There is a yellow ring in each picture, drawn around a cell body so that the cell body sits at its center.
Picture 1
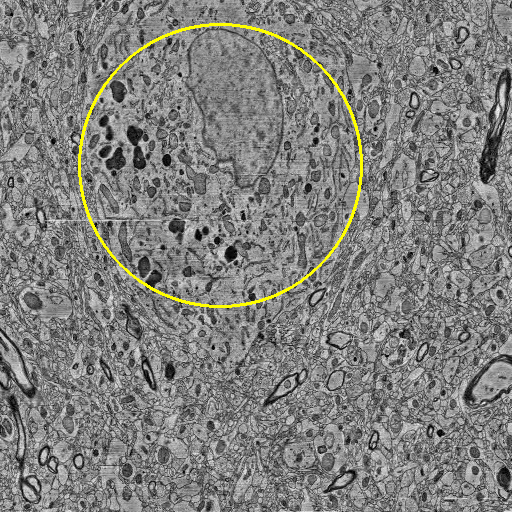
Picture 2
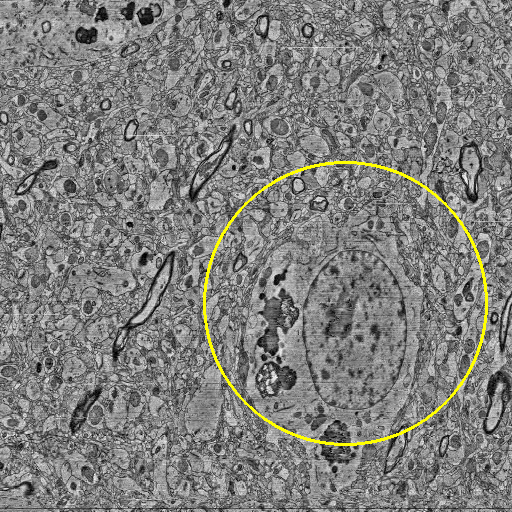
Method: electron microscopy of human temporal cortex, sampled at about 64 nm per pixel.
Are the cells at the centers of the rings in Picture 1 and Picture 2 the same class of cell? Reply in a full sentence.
No, the two cells are two classes of cell.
